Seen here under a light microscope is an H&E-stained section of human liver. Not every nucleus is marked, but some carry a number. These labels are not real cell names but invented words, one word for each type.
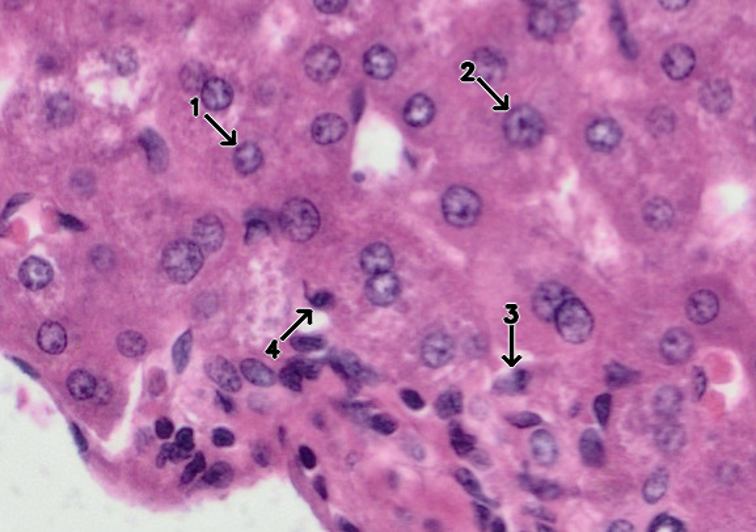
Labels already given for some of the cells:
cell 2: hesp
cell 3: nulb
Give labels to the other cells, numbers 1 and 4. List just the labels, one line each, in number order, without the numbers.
hesp
nulb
